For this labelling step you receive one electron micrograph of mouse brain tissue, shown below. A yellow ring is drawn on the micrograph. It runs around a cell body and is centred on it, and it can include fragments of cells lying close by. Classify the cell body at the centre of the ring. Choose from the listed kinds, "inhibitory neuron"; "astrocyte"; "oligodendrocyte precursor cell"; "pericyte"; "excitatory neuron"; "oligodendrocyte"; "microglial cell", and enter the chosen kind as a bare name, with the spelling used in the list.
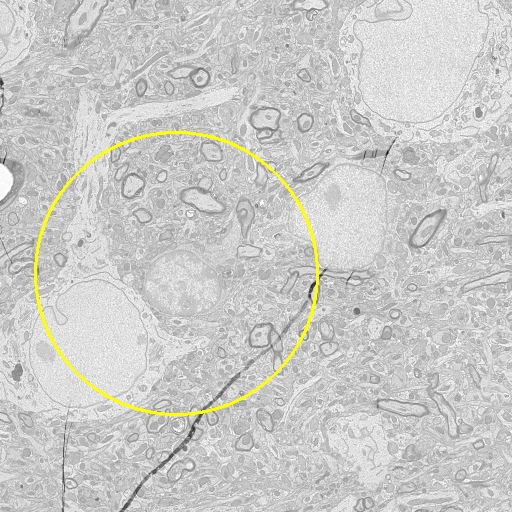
oligodendrocyte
